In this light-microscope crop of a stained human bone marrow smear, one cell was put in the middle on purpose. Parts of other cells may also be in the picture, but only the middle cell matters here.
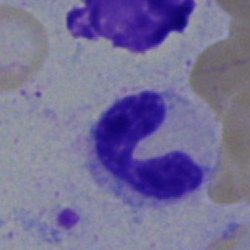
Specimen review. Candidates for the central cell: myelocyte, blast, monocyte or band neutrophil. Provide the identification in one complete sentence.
The cell centred in this crop is categorized as a band neutrophil.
